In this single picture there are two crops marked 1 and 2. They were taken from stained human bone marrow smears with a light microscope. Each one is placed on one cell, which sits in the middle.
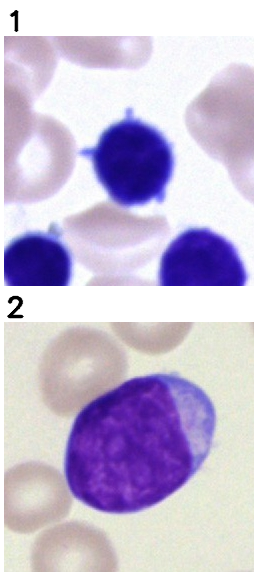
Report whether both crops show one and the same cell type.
no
